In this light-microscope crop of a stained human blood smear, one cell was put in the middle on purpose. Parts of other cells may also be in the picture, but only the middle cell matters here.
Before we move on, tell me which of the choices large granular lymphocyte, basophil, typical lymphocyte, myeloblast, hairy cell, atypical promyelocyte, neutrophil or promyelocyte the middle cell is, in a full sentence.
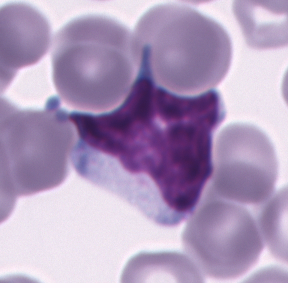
Seen at the centre of the crop is a typical lymphocyte.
